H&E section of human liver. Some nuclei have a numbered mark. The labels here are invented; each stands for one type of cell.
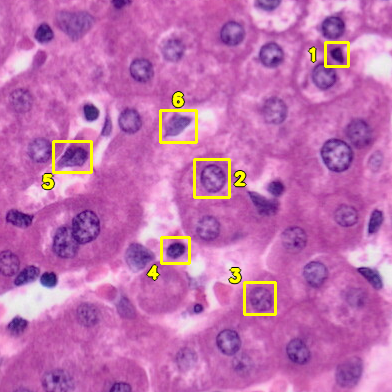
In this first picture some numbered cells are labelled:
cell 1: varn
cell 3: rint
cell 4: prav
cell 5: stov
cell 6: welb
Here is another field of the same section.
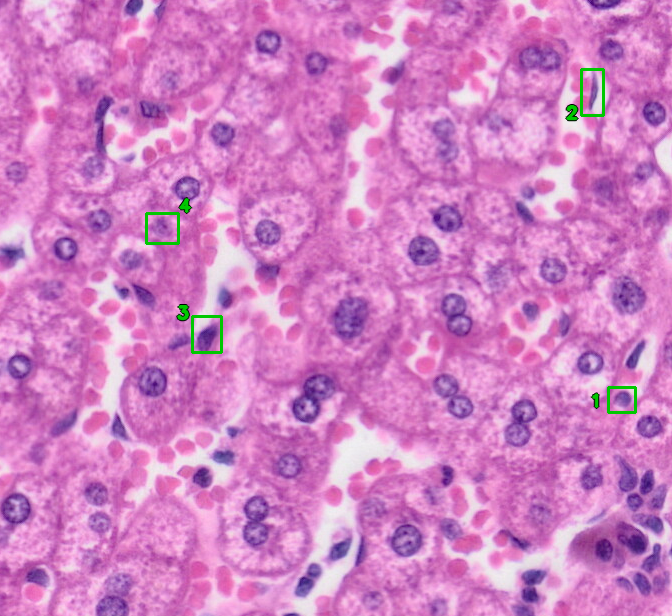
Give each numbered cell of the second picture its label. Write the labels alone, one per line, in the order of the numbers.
prav
welb
stov
rint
